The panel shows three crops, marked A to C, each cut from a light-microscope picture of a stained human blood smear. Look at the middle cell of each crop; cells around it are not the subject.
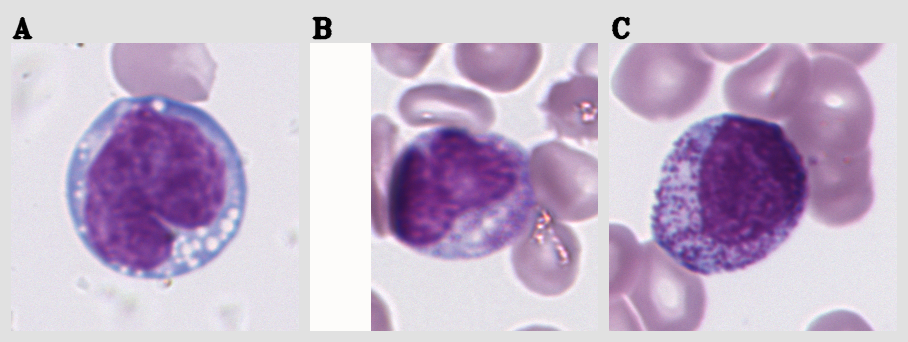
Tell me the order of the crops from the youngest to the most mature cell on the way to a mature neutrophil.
A, C, B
